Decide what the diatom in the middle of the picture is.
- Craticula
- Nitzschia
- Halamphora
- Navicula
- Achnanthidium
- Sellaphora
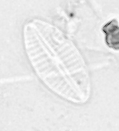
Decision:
Craticula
